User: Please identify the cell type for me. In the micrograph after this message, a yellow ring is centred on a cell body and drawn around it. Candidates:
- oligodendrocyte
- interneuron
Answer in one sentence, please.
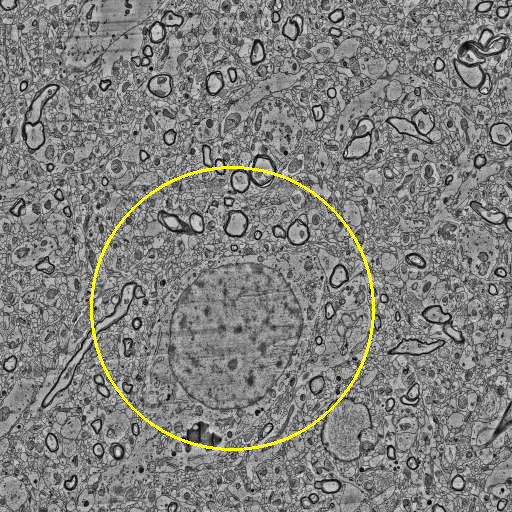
The ring is drawn around the cell body of an interneuron.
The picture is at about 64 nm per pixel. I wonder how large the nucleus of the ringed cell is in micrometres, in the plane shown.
In this plane the nucleus spans approximately 10 by 8 micrometers.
